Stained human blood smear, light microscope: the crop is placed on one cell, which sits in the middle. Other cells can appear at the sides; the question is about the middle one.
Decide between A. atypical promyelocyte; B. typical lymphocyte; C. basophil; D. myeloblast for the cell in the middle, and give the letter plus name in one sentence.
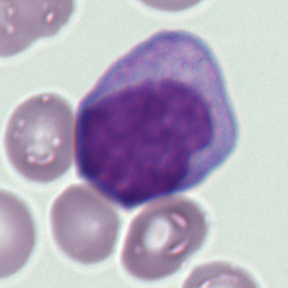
This one is option A, since the cell at the center is an atypical promyelocyte.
